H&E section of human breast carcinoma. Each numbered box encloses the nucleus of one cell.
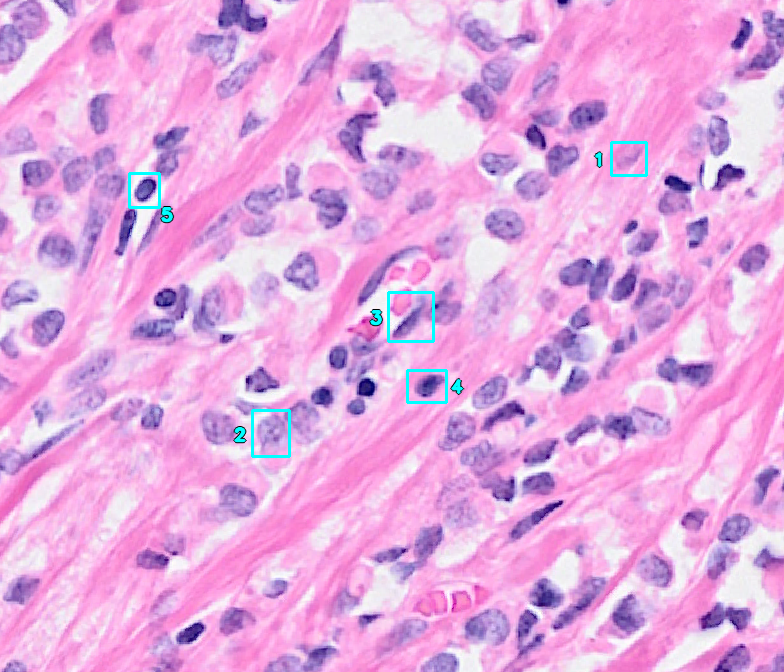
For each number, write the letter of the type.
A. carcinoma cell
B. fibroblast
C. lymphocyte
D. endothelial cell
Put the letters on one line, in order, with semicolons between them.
B; A; D; C; C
